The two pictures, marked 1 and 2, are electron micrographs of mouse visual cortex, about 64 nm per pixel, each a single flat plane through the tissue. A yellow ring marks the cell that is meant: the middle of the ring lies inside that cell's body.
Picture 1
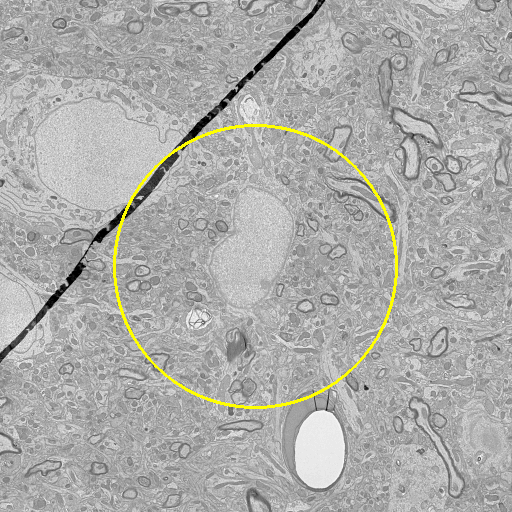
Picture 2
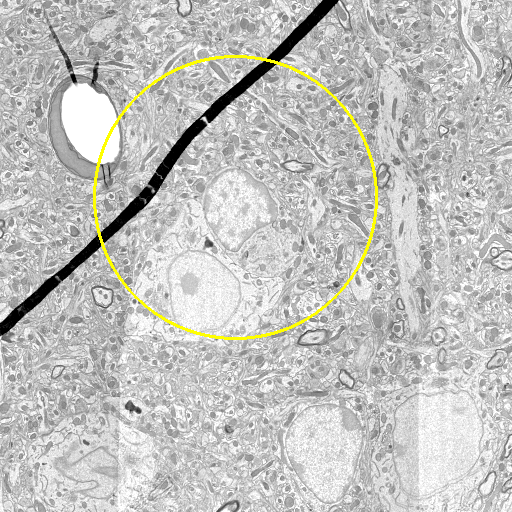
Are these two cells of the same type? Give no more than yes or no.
no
